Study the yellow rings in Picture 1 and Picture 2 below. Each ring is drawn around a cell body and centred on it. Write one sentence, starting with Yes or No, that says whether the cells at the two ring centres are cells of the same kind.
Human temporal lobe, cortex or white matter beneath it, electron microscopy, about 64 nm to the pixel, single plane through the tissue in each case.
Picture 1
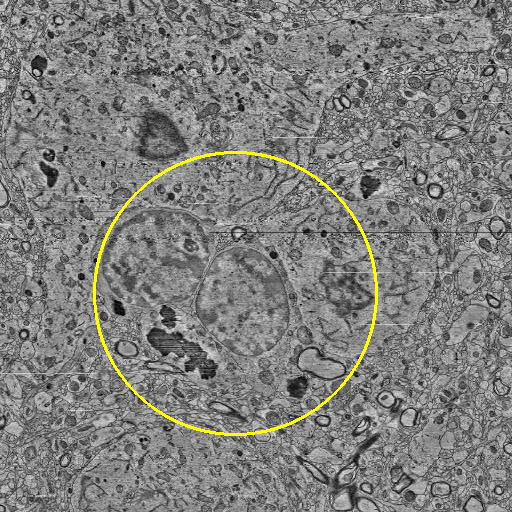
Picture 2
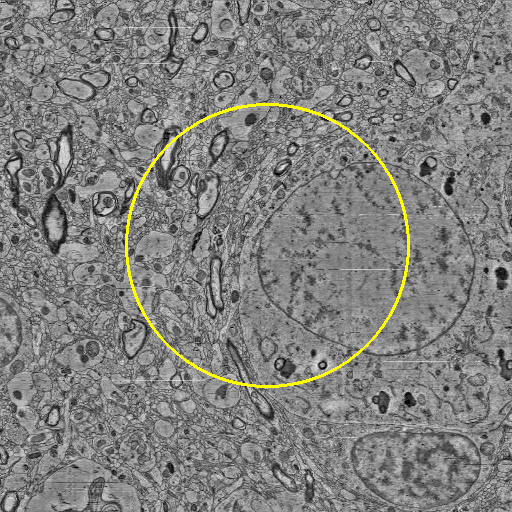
No, the cells at the ring centres are of two kinds.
